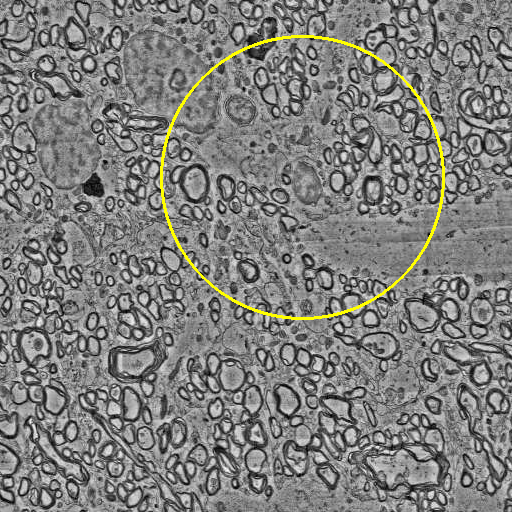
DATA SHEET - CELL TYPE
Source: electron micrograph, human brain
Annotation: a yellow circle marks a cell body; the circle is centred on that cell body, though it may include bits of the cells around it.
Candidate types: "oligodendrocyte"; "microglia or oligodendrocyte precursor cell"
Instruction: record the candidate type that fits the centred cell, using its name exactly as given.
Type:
oligodendrocyte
